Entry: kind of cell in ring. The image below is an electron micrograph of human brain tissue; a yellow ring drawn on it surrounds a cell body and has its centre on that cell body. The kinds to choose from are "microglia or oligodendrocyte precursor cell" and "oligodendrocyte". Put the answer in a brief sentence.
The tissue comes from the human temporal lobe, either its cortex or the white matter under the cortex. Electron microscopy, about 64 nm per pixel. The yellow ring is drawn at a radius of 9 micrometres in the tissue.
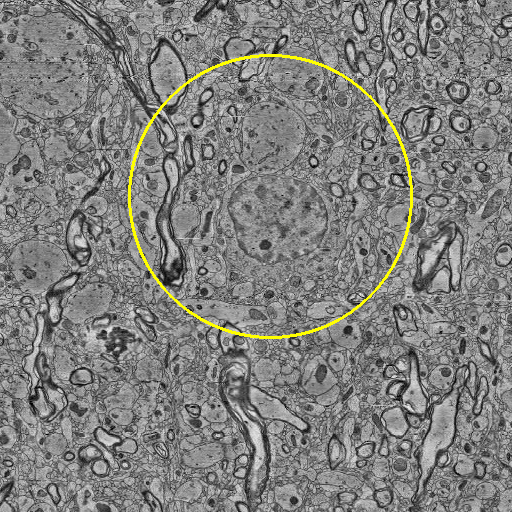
The ring has been drawn around an oligodendrocyte.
